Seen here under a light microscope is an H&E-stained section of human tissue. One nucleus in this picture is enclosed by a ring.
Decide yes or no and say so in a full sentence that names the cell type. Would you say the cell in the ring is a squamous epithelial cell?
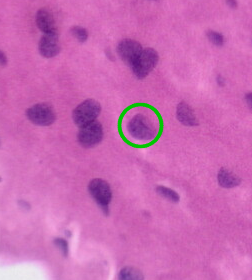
Yes, the cell in the ring is to be classified as a squamous epithelial cell.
